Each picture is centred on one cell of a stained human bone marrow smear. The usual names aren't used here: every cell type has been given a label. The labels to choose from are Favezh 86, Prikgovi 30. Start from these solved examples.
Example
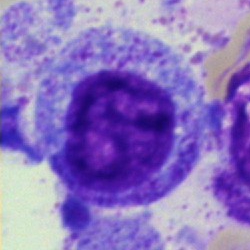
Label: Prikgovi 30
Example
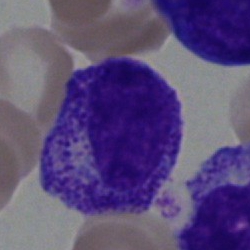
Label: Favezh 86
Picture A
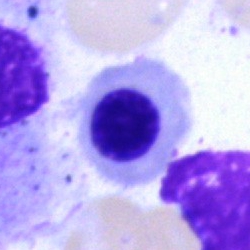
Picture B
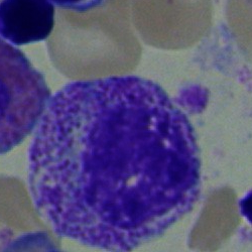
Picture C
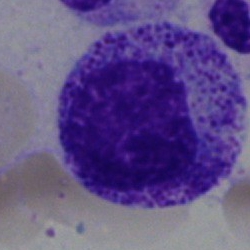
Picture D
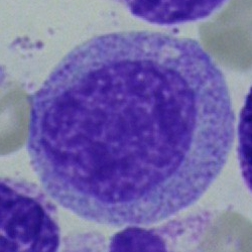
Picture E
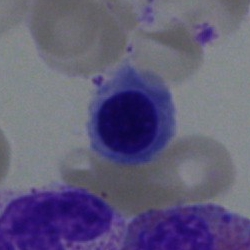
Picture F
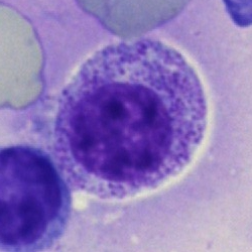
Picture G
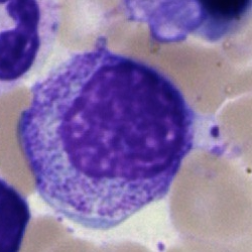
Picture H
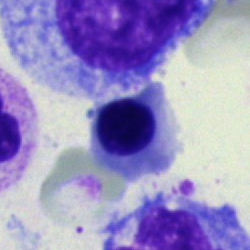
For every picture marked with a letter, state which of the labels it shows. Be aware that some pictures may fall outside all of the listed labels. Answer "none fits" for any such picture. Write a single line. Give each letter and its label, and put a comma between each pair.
A none fits, B Favezh 86, C Prikgovi 30, D Prikgovi 30, E none fits, F Favezh 86, G Favezh 86, H none fits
